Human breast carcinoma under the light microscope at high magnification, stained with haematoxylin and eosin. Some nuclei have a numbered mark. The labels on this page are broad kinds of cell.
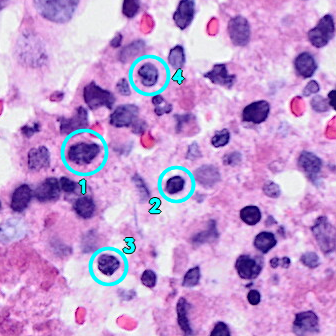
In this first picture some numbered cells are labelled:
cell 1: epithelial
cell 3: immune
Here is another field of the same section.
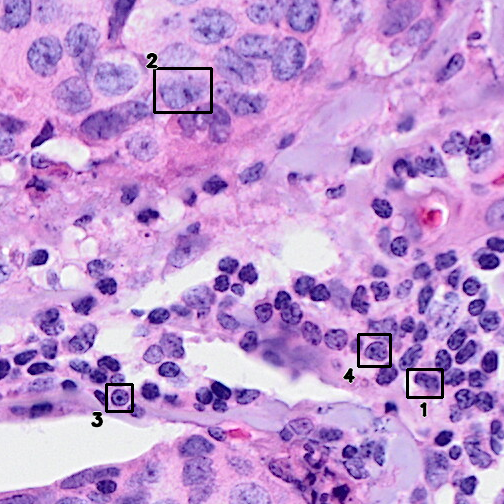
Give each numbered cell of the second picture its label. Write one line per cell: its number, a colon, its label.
1: immune
2: epithelial
3: immune
4: immune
